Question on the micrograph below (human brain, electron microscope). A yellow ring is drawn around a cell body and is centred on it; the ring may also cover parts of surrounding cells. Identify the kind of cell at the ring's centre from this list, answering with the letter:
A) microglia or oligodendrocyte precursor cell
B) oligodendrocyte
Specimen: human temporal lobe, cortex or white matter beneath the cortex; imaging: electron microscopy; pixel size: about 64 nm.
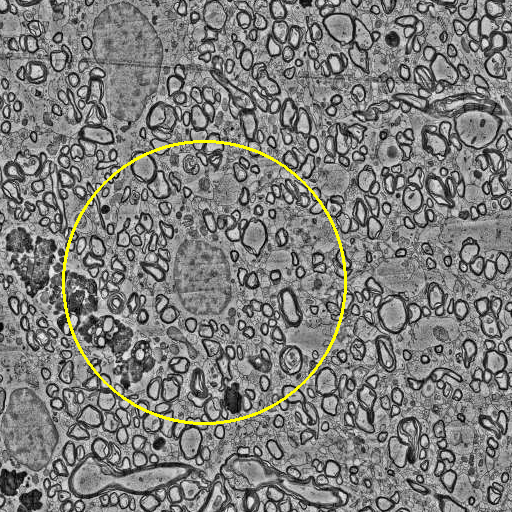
B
